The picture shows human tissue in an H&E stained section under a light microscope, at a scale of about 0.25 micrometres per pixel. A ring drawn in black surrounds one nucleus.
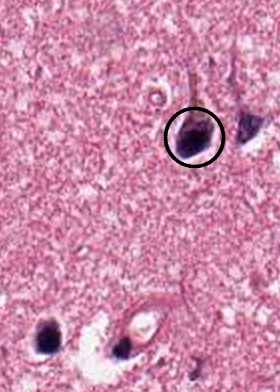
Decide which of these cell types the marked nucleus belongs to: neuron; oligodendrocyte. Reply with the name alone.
neuron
